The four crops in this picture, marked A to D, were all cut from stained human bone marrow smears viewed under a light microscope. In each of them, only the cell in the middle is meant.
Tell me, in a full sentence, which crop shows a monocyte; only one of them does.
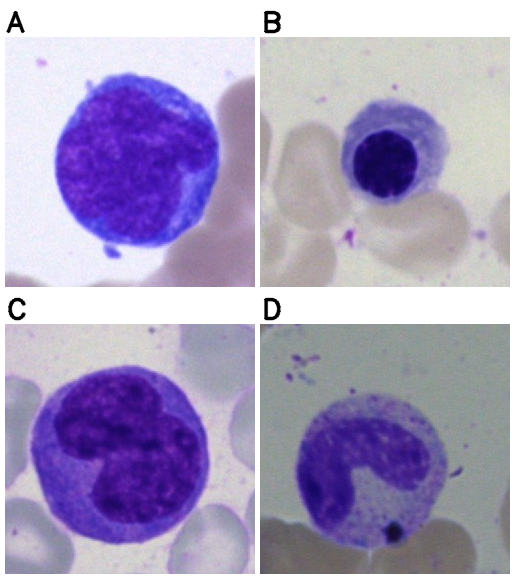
Crop C represents a monocyte, while the other crops do not.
